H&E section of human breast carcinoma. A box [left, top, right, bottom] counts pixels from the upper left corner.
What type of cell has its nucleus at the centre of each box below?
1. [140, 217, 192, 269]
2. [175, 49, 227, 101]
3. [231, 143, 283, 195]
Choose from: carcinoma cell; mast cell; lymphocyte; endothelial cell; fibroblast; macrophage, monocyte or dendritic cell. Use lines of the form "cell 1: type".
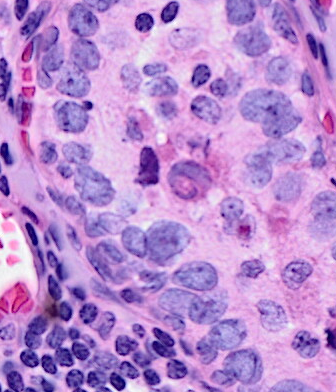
cell 1: carcinoma cell
cell 2: lymphocyte
cell 3: carcinoma cell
